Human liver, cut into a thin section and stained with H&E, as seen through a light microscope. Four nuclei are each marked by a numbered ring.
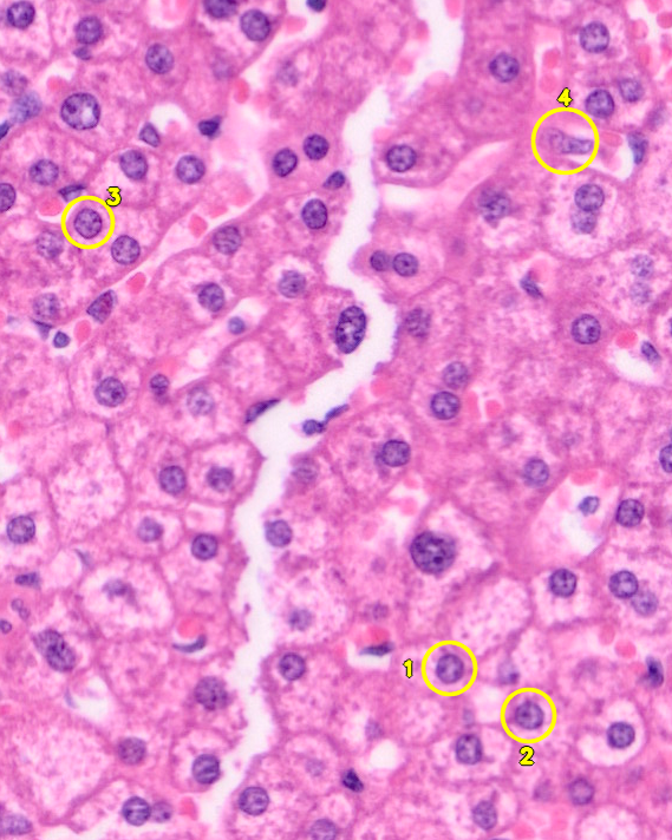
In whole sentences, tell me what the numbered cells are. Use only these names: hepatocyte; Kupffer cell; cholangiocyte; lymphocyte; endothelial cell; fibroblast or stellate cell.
Cell 1 is a hepatocyte, cell 2 is a hepatocyte, cell 3 is a hepatocyte and cell 4 is a Kupffer cell.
